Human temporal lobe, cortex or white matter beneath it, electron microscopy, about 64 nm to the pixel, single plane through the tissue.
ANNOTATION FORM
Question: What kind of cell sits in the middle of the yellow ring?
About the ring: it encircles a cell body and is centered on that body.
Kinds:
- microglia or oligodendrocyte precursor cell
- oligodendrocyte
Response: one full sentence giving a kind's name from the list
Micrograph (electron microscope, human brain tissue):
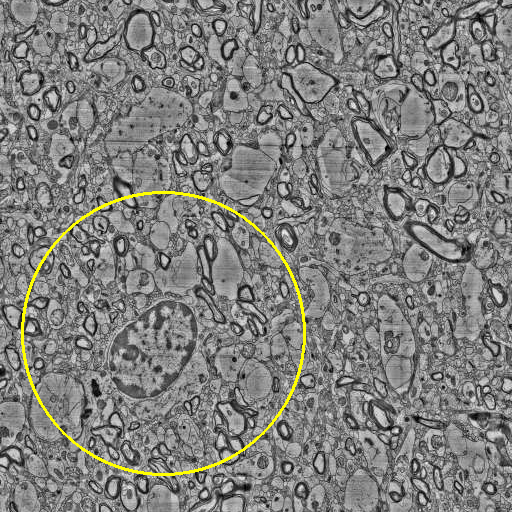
The kind of cell found at the center of the yellow ring in the micrograph is a microglial cell or oligodendrocyte precursor cell.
